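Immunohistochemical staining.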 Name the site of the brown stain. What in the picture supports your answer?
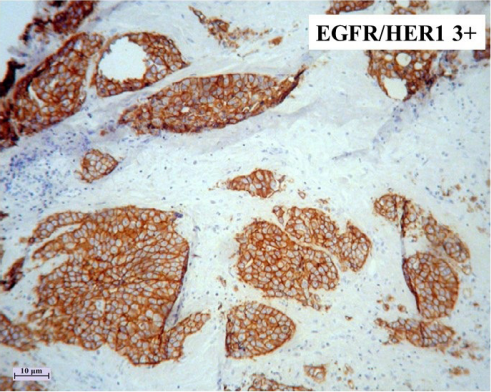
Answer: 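Brown stain outlines the borders of each cell in the nests. The cells form a honeycomb-like brown network. Cell interiors are paler than their outlines.
Membranous.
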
